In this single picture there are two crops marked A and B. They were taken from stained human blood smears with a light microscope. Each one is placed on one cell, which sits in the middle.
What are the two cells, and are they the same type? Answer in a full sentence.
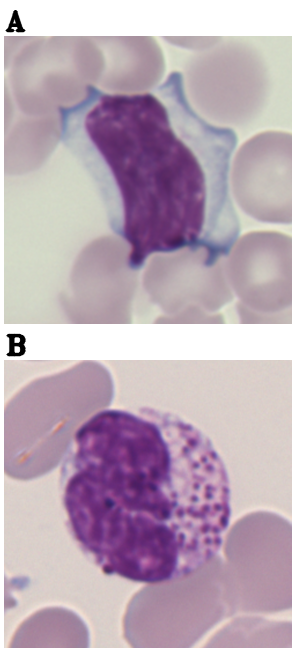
No, a lymphocyte is in crop A, and a basophil is in crop B.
